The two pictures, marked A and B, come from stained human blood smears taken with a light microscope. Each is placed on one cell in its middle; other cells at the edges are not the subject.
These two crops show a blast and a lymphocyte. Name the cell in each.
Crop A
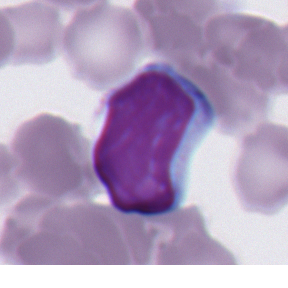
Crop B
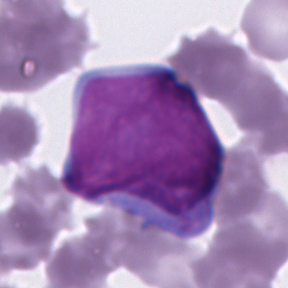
A: lymphocyte
B: blast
